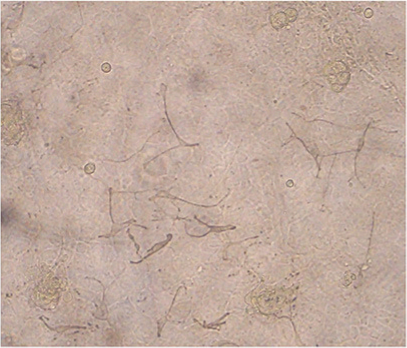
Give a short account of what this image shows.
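Dendritic melanocytes lie scattered within an epidermal sheet viewed without stain. Processes of neighbouring cells cross and overlap in places. A few small round refractile bodies and some rounded clusters of cells lie elsewhere in the field.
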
